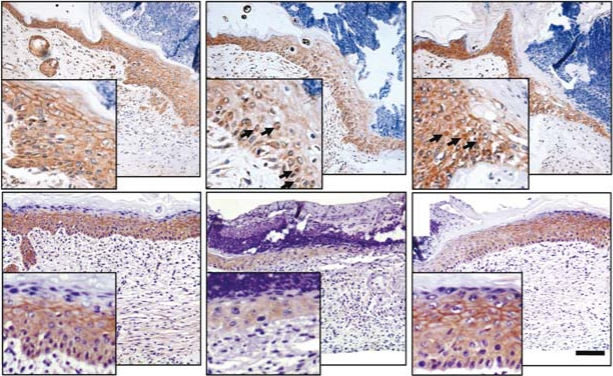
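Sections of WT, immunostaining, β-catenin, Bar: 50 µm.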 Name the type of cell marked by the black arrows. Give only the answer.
Keratinocytes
